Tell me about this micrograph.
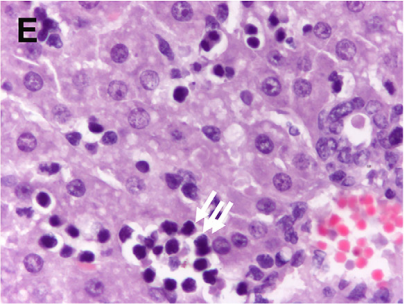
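This is liver, with plates of large hepatocytes and scattered clusters of small blood-forming cells between them. The hepatocytes have round, pale nuclei with visible nucleoli and evenly pink, solid cytoplasm. The small cells lie in tight groups and have round, very dark, dense nuclei with little cytoplasm; these groups are foci of extramedullary hematopoiesis. Red blood cells are packed in a nearby sinusoid at the lower right.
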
